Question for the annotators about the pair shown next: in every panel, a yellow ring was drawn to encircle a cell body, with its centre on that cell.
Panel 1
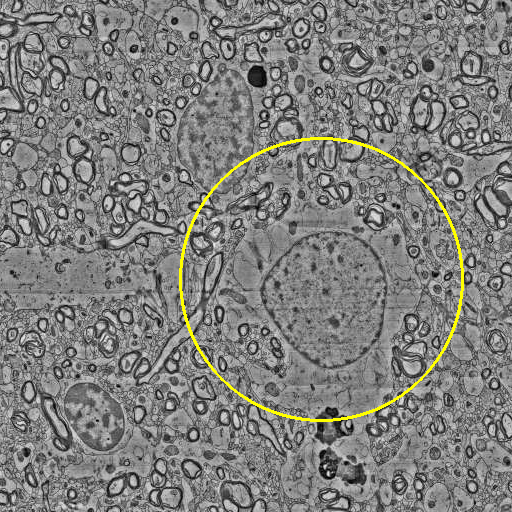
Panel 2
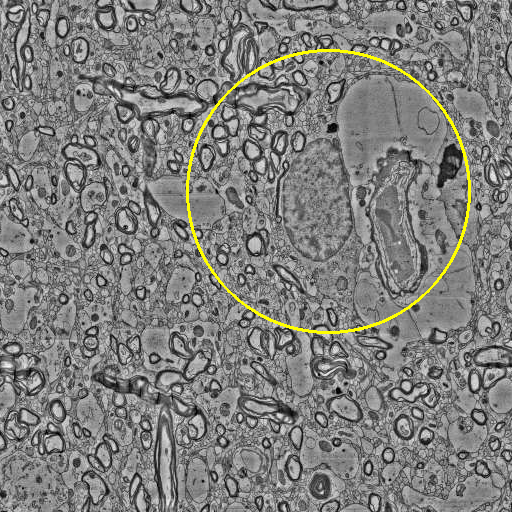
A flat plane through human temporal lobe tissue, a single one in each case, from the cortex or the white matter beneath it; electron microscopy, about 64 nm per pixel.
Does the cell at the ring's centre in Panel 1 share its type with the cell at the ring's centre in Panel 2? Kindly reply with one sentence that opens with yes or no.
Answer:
No, in Panels 1 and 2 the cells at the ring centres belong to separate types.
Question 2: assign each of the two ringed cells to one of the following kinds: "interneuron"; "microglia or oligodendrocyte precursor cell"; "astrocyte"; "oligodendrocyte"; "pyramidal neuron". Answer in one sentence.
The two cells are an astrocyte in the first picture and an oligodendrocyte in the second.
